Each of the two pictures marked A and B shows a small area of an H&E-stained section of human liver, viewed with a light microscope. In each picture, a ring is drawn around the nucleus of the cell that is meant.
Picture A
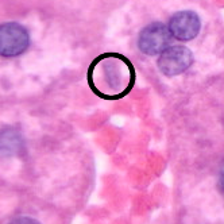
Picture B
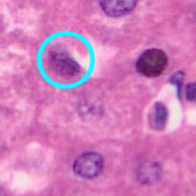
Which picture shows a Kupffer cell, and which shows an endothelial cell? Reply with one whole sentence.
Picture A is of a Kupffer cell, and picture B is of an endothelial cell.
